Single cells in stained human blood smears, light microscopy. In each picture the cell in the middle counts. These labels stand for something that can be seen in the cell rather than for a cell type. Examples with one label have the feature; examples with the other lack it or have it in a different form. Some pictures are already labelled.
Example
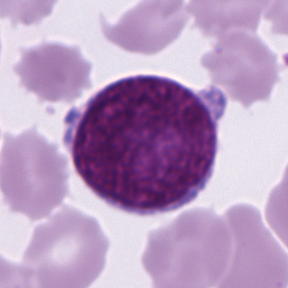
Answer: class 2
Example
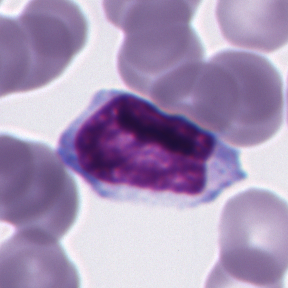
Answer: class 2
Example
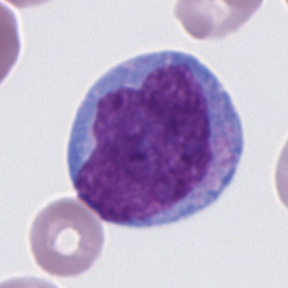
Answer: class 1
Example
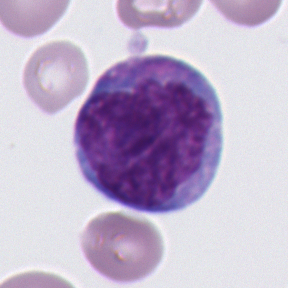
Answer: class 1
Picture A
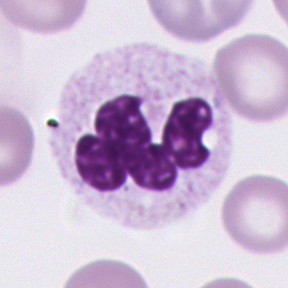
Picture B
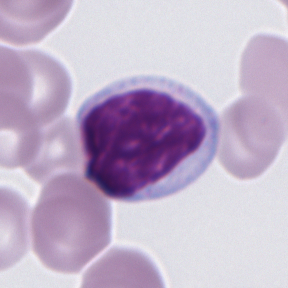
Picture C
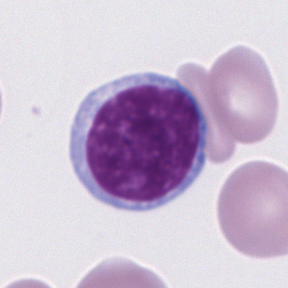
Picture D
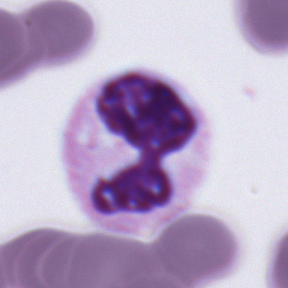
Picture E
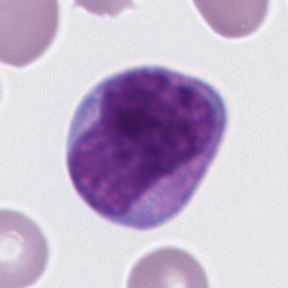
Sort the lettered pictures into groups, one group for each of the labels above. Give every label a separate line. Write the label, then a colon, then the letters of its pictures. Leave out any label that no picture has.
class 1: A, B, C, D, E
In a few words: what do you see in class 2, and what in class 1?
Seen in class 2: ragged outline or projections; seen in class 1: smooth outline.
